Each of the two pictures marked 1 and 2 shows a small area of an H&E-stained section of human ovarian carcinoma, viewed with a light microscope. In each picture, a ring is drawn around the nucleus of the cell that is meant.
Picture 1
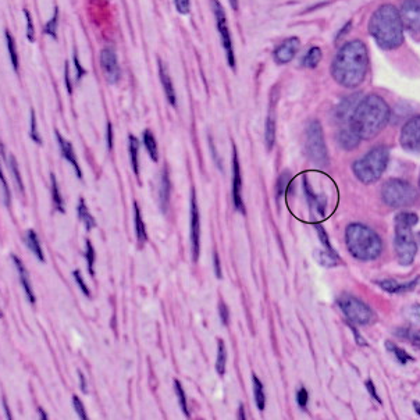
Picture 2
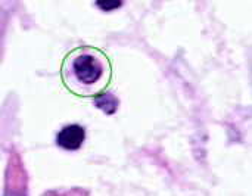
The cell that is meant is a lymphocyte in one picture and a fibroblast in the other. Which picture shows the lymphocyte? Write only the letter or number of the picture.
2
